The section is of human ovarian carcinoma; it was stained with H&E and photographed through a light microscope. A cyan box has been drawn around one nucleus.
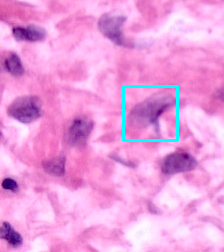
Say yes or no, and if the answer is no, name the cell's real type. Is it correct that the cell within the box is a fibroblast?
Yes.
